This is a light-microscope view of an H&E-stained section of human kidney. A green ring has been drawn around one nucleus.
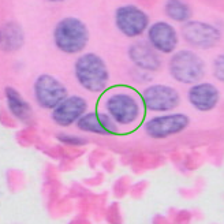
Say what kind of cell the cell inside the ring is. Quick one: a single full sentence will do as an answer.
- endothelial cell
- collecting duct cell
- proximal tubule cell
In this preparation, the cell inside the ring is a collecting duct cell.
